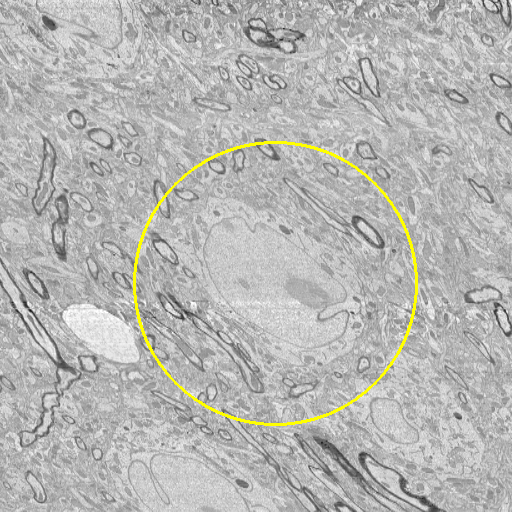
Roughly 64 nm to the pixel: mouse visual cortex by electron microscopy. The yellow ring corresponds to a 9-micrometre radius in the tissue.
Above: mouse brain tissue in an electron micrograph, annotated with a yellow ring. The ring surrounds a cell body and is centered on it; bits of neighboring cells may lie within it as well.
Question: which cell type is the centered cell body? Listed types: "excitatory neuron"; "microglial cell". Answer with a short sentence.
The centered cell body is an excitatory neuron.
